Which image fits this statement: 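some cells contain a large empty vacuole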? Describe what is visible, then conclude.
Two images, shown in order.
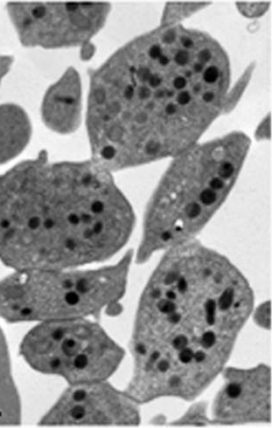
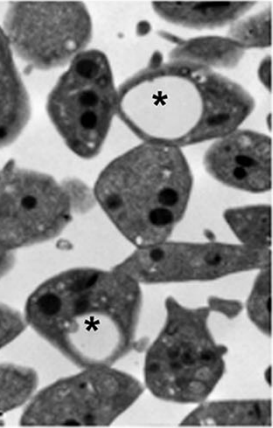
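Second image: two cell profiles each hold a large round pale vacuole marked by an asterisk. First image: the cell profiles hold only dark granules and small vesicles, with no large pale space. On this evidence: the second image.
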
